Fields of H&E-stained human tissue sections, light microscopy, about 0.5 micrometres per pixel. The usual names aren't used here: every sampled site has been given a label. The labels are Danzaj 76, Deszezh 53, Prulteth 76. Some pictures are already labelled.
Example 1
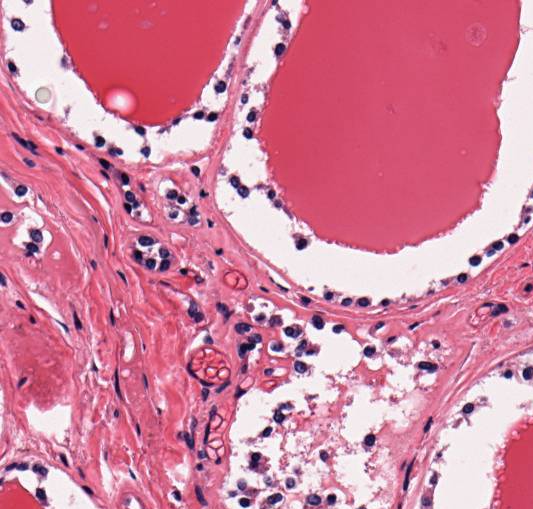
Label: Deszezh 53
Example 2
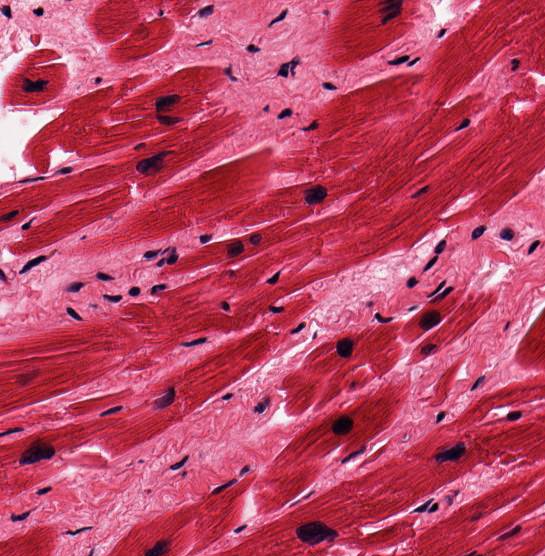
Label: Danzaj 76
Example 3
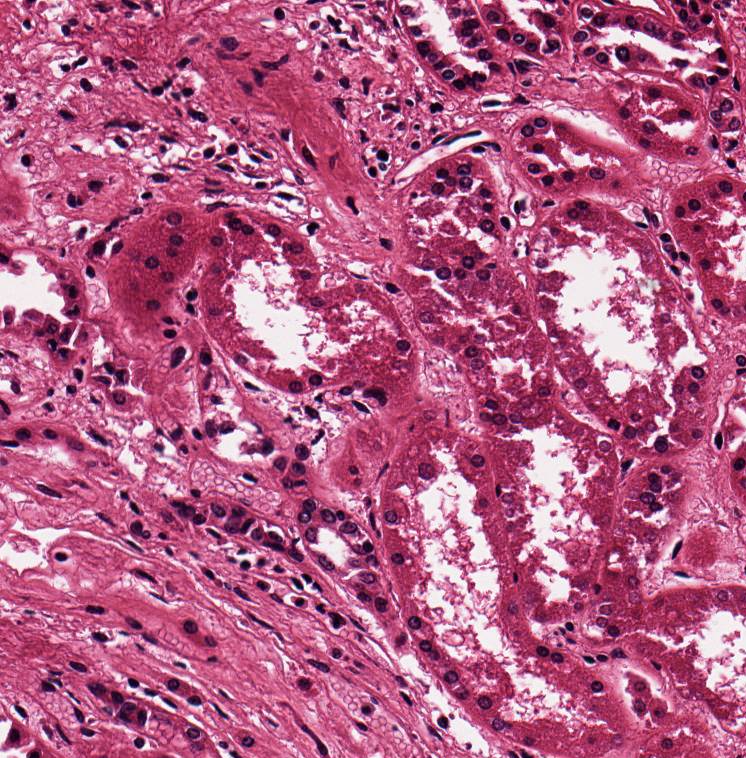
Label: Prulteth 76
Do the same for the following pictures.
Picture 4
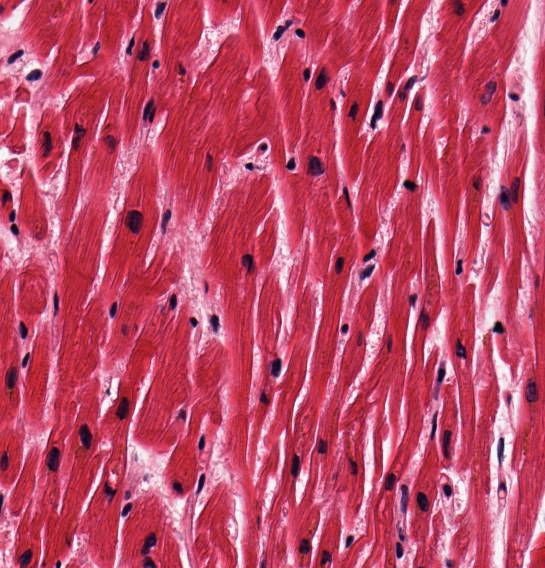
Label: Danzaj 76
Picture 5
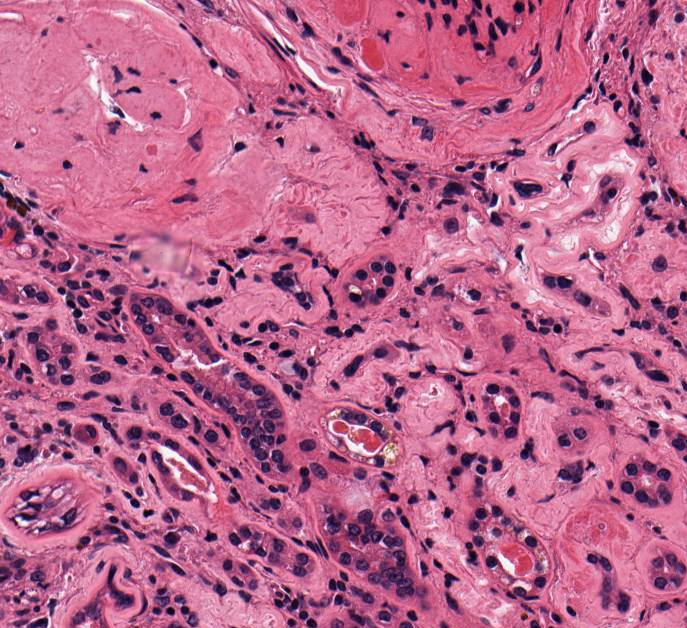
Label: Prulteth 76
